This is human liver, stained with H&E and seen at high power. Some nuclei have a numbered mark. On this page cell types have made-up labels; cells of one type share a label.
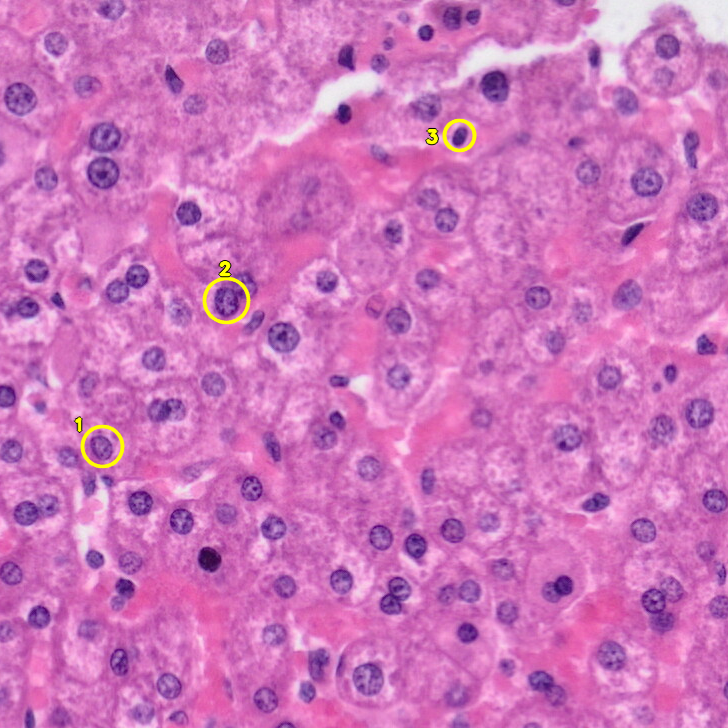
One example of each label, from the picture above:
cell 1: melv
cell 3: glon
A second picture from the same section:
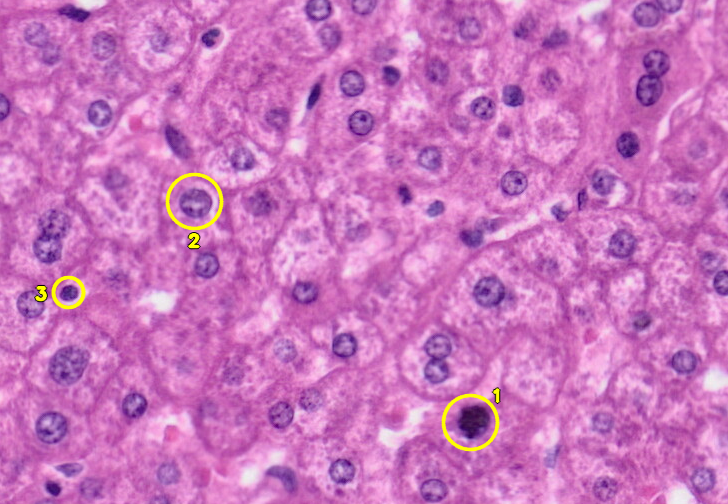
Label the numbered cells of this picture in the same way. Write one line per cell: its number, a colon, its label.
1: melv
2: melv
3: glon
